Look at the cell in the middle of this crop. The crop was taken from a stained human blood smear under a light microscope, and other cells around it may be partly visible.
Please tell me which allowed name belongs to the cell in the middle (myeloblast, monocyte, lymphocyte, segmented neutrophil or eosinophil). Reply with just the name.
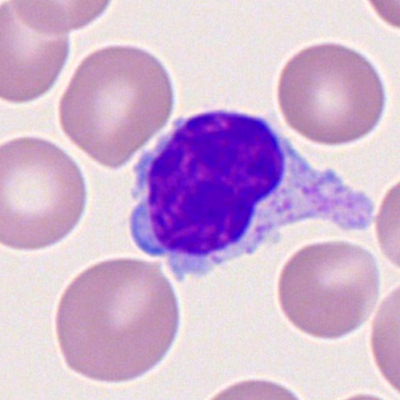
lymphocyte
